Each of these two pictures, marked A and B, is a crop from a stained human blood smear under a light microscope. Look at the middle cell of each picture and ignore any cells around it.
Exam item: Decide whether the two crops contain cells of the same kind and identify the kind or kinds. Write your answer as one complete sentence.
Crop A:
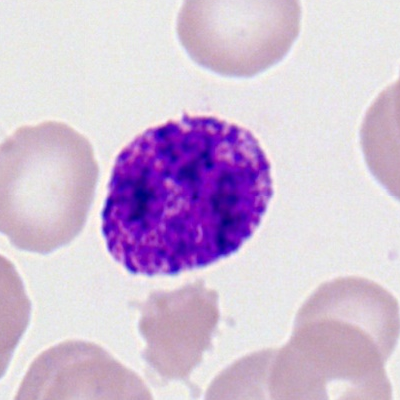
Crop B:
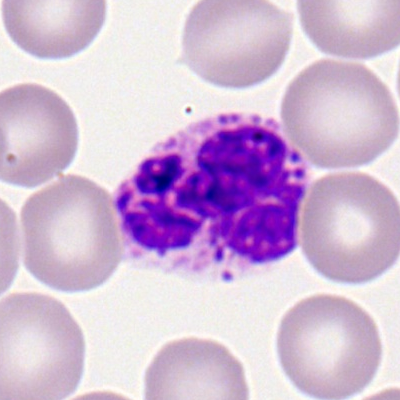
Yes, both crops feature basophils at the centre.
